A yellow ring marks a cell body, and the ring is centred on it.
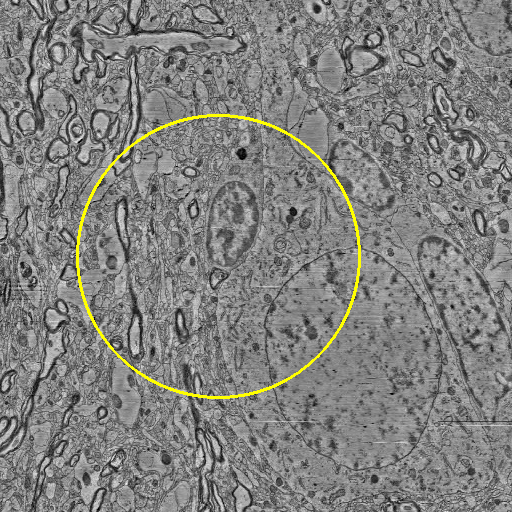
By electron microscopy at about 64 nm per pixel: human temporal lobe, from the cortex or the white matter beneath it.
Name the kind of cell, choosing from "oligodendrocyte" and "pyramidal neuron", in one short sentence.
The marked cell body belongs to an oligodendrocyte.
